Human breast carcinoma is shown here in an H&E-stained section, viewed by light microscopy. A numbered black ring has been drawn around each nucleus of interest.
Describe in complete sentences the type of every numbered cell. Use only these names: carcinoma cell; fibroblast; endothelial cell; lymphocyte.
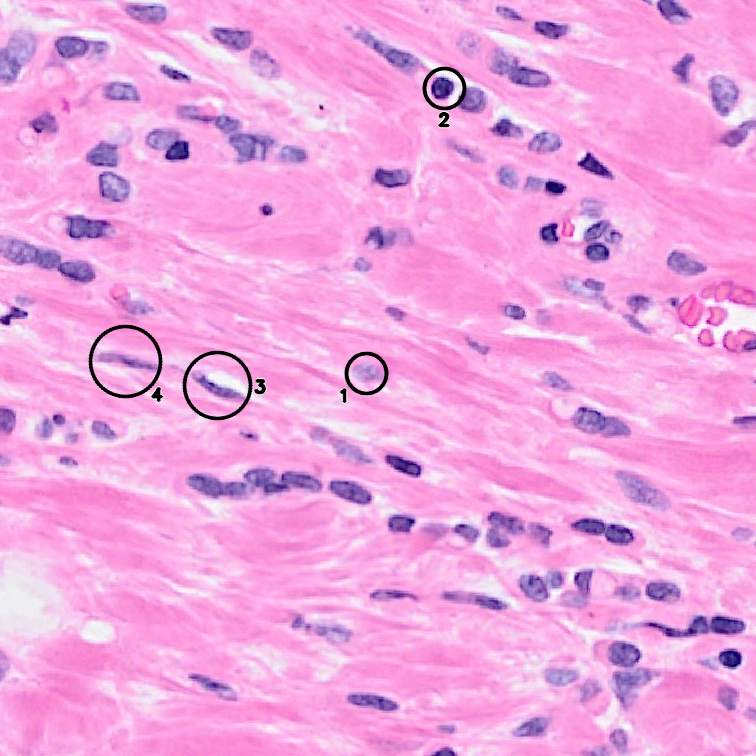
Cell 1 is a fibroblast, cell 2 is a lymphocyte, cell 3 is a fibroblast and cell 4 is a fibroblast.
